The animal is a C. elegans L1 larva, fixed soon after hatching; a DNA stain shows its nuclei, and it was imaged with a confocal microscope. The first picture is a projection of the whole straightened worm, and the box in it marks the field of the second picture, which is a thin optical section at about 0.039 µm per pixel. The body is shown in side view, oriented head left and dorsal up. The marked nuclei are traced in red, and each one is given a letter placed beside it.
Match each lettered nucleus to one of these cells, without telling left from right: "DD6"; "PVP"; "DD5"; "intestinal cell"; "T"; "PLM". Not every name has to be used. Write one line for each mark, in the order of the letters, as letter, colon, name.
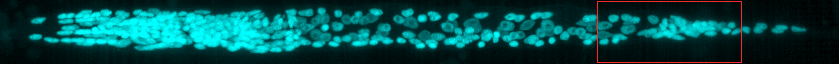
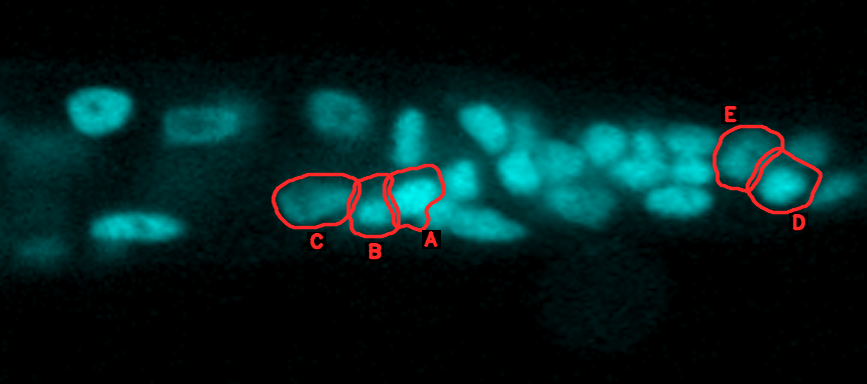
A: DD6
B: PVP
C: intestinal cell
D: PLM
E: T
